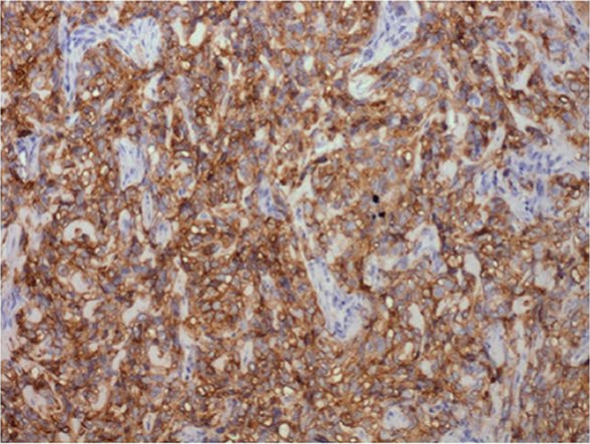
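This is a densely cellular tumor in which the tumor cells are outlined by strong brown staining that traces their membranes, giving a honeycomb-like pattern across most of the field. The cells form crowded nests and sheets, with small clear spaces scattered between them. Running through the tumor are paler strands of stroma containing elongated blue nuclei that lack the brown stain. The brown outline is confined to the tumor cells, while the stromal strands stay blue.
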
